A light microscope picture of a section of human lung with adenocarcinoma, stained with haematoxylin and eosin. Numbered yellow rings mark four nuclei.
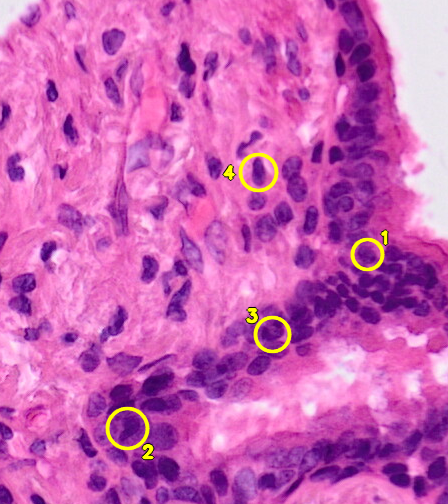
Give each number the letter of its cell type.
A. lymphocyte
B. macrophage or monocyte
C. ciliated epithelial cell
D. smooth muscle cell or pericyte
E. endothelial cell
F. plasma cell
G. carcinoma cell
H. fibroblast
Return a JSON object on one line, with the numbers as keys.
{"1": "C", "2": "C", "3": "C", "4": "A"}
